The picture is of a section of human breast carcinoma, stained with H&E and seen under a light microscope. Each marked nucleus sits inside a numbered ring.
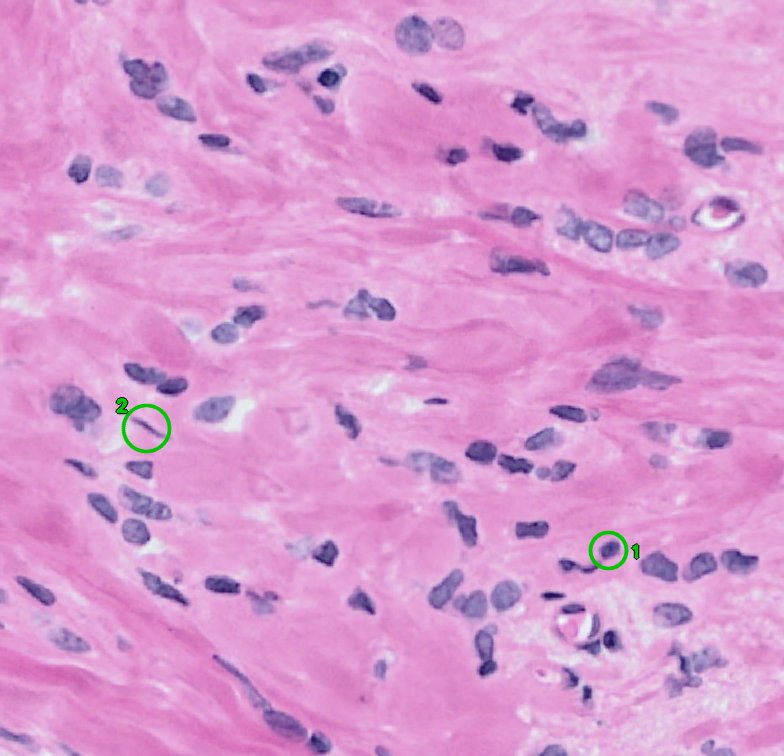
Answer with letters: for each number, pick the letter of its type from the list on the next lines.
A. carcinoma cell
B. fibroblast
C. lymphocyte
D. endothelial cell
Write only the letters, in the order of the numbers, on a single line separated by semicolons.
C; B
